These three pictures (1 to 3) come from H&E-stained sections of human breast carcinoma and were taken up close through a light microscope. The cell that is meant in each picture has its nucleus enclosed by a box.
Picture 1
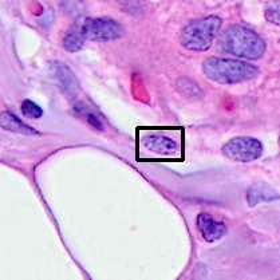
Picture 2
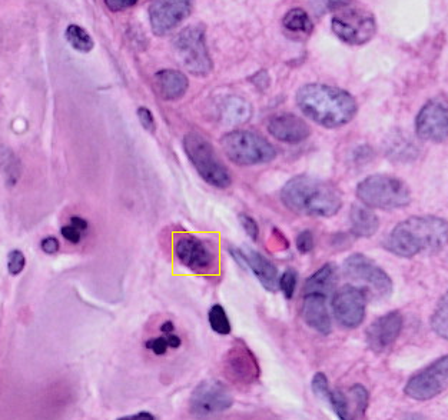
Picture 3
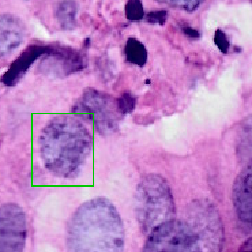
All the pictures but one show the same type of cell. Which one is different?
3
